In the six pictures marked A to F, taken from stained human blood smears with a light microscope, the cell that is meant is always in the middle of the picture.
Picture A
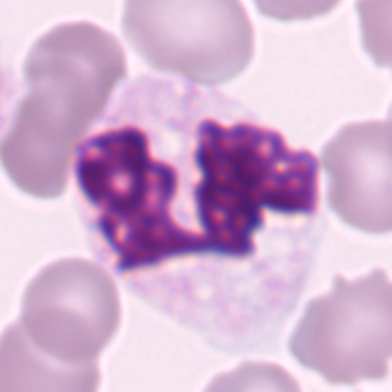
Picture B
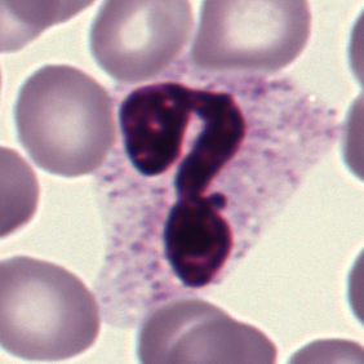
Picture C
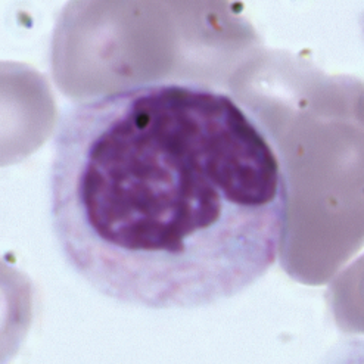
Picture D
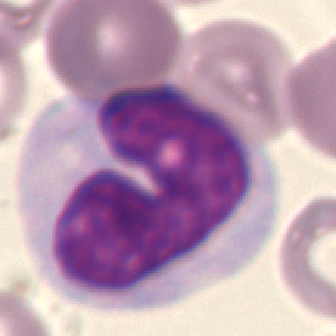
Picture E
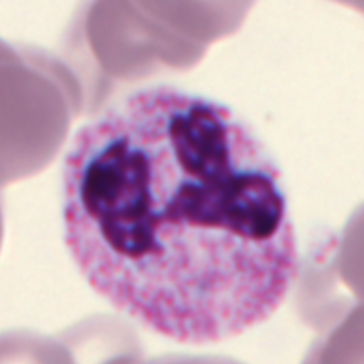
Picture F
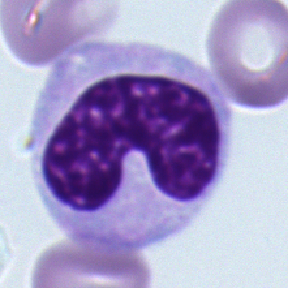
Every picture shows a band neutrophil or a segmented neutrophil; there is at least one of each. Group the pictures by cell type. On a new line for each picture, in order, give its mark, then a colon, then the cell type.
A: segmented neutrophil
B: segmented neutrophil
C: band neutrophil
D: band neutrophil
E: segmented neutrophil
F: band neutrophil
